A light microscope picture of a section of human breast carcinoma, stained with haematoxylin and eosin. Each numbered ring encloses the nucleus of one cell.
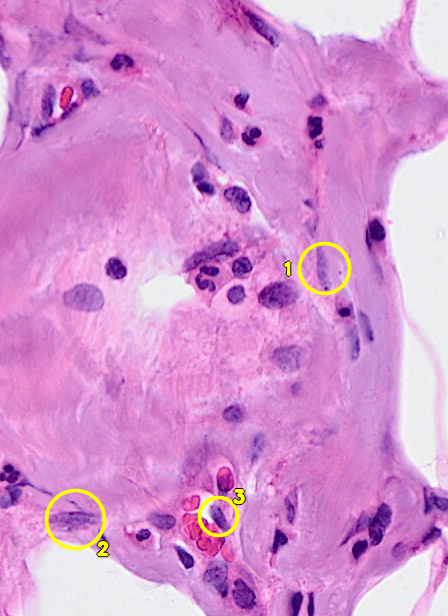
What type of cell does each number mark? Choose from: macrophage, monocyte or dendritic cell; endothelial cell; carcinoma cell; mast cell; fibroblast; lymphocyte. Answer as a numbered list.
1. fibroblast
2. fibroblast
3. endothelial cell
